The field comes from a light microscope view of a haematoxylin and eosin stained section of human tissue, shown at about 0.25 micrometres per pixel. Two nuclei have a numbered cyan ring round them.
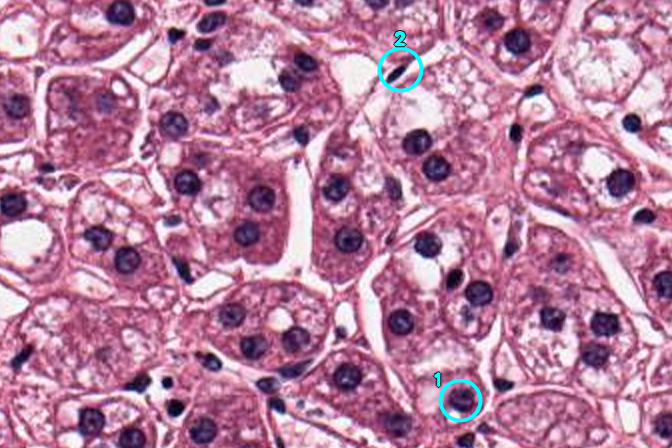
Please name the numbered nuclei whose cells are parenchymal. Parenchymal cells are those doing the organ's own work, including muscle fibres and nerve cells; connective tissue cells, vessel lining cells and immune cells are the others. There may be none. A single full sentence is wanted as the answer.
Just one marked nucleus, nucleus 1, belongs to a parenchymal cell.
